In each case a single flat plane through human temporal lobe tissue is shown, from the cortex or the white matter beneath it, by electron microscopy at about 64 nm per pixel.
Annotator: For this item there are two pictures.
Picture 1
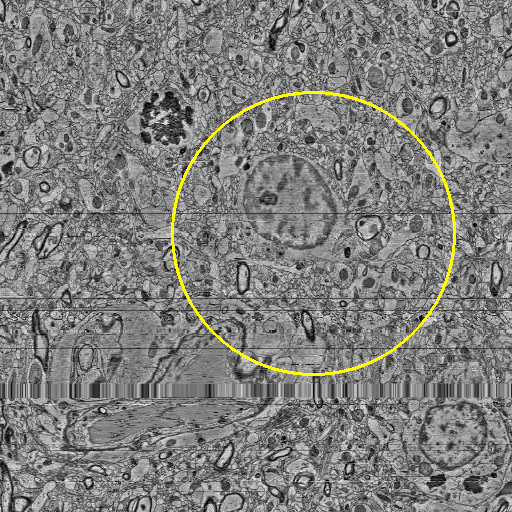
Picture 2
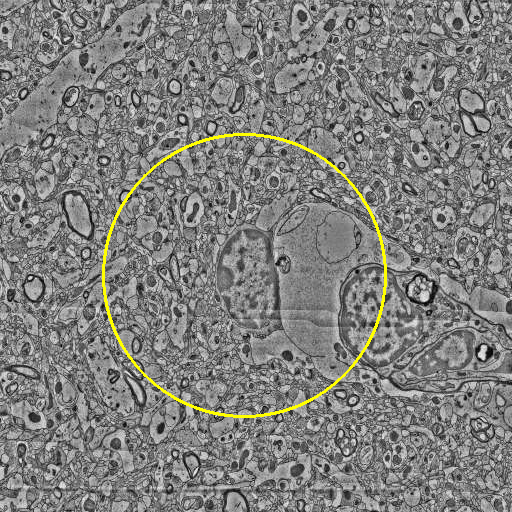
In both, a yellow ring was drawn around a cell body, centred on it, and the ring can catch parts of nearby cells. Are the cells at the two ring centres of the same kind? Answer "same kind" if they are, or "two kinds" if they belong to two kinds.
same kind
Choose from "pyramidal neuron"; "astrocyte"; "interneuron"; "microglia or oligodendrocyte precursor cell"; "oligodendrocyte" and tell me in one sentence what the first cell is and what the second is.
In each of the two pictures, the ringed cell is an oligodendrocyte.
